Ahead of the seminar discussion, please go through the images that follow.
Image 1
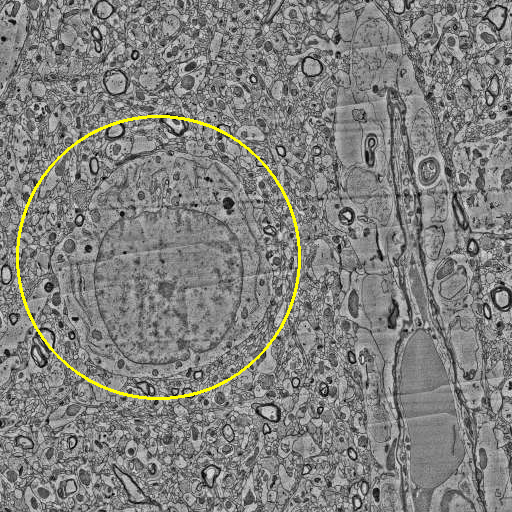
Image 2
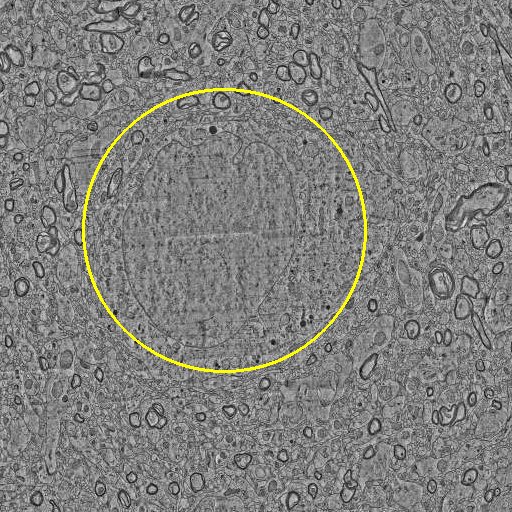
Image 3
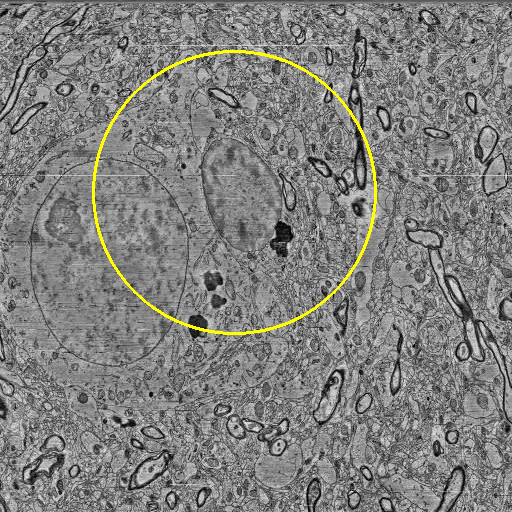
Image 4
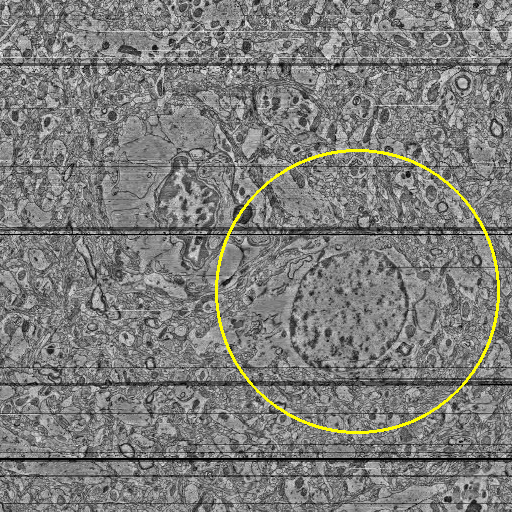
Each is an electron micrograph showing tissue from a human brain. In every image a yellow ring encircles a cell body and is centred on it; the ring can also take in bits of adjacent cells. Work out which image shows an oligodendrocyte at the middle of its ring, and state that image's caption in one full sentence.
In Image 3, the ring's centre holds the cell you are looking for.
